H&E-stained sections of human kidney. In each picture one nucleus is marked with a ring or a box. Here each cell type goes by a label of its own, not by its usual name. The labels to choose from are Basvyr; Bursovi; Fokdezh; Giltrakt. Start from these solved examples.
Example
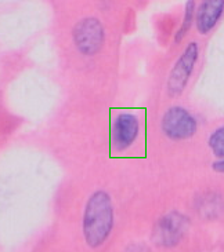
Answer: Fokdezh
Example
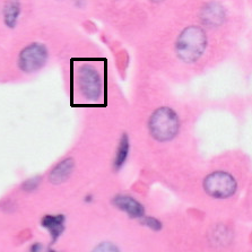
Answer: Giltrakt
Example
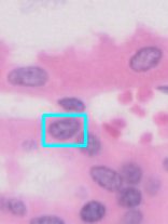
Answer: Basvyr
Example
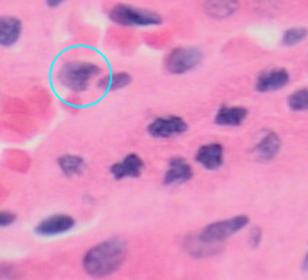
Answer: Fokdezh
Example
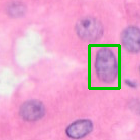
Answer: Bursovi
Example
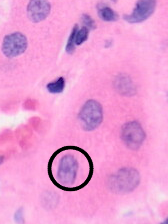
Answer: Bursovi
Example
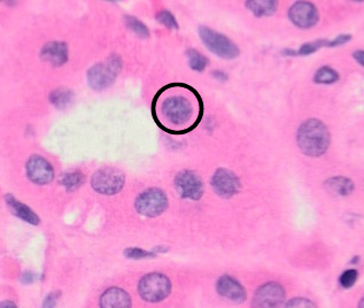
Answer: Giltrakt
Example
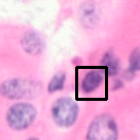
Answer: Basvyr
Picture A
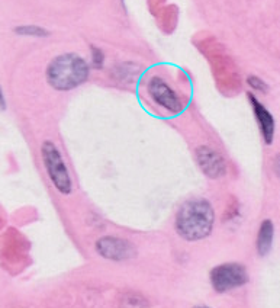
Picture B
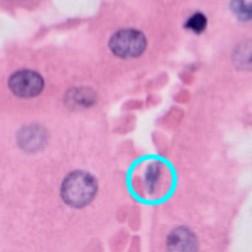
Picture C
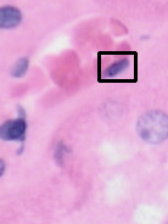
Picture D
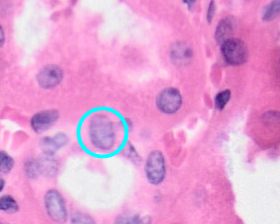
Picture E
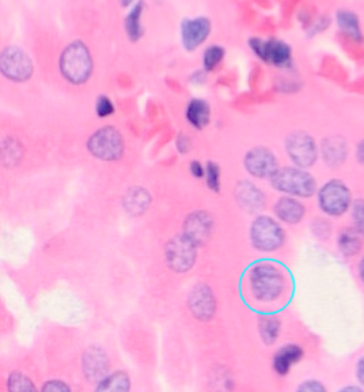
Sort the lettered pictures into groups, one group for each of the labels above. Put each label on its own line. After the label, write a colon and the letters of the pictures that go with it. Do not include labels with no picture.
Basvyr: A, D, E
Fokdezh: B, C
